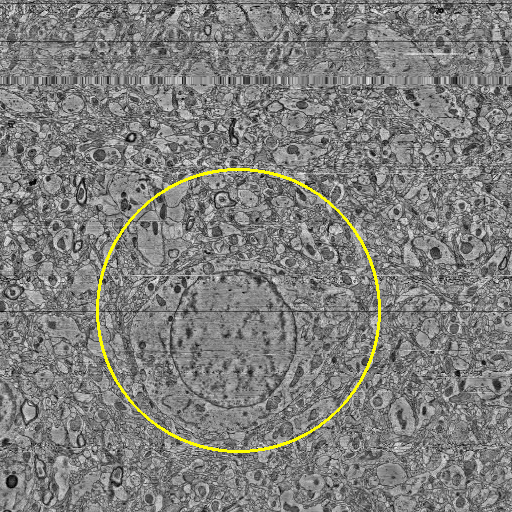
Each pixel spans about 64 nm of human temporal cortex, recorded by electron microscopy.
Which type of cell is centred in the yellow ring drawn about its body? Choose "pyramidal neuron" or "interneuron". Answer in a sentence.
The yellow ring surrounds the cell body of a pyramidal neuron.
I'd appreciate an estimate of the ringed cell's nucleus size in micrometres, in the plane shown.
The nucleus of the ringed cell is approximately 9 micrometres across in this plane.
